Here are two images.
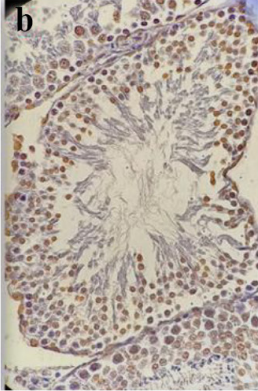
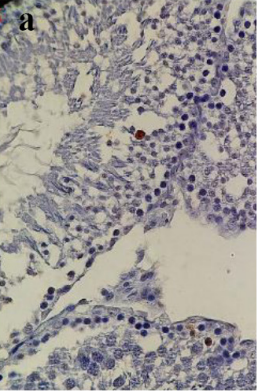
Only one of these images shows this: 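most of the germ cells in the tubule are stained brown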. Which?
the first image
